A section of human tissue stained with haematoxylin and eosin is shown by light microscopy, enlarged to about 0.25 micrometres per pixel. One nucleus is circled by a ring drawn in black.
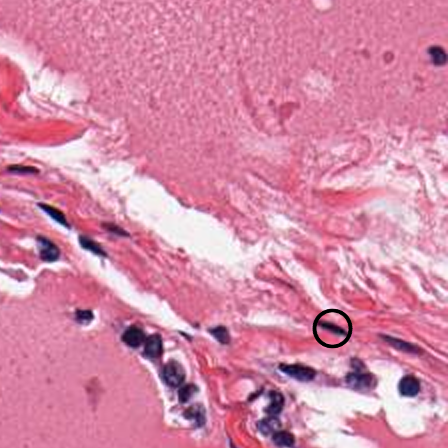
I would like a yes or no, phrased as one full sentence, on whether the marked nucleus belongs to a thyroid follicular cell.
No, a thyroid follicular cell does not own the marked nucleus, which belongs to a supporting cell.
